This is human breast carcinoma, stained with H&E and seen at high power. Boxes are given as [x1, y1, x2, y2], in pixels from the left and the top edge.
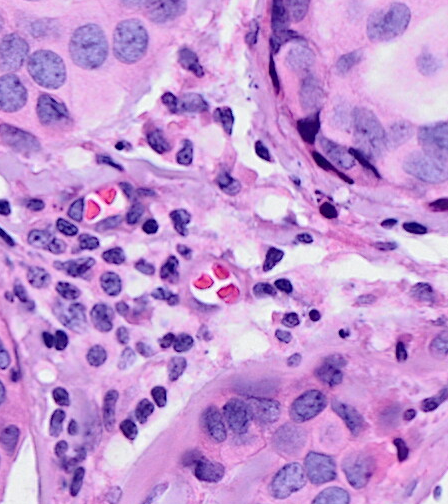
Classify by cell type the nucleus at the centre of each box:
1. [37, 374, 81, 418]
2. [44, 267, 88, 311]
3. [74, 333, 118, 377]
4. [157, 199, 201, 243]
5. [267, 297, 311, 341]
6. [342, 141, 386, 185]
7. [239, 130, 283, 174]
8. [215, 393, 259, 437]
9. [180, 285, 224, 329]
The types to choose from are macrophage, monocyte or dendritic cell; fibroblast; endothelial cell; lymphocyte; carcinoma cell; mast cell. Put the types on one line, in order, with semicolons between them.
lymphocyte; lymphocyte; mast cell; lymphocyte; lymphocyte; carcinoma cell; lymphocyte; carcinoma cell; endothelial cell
